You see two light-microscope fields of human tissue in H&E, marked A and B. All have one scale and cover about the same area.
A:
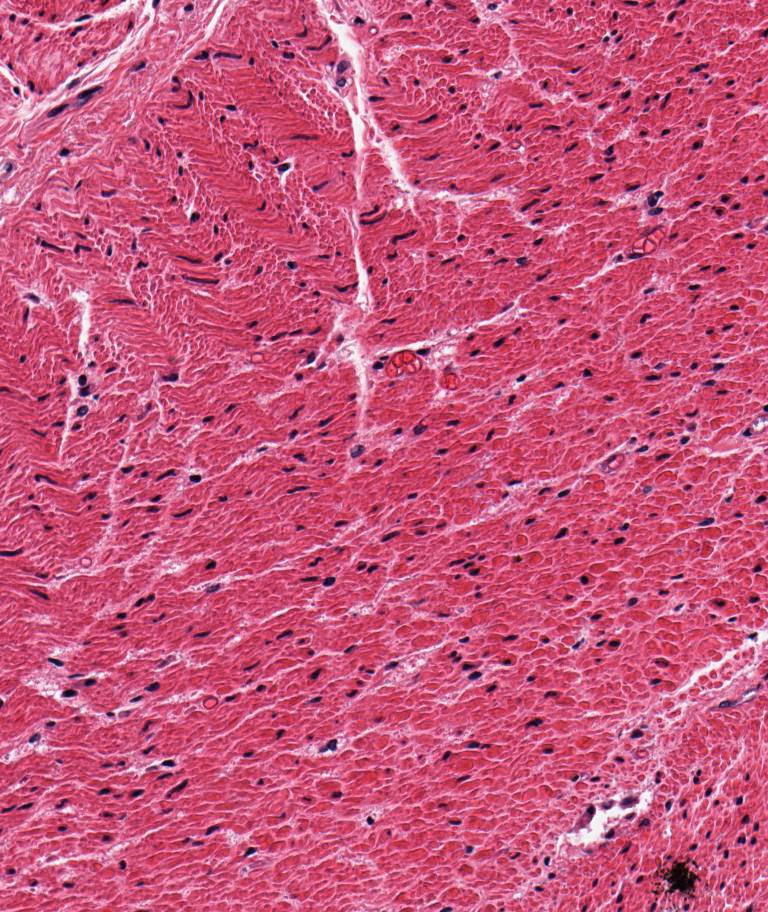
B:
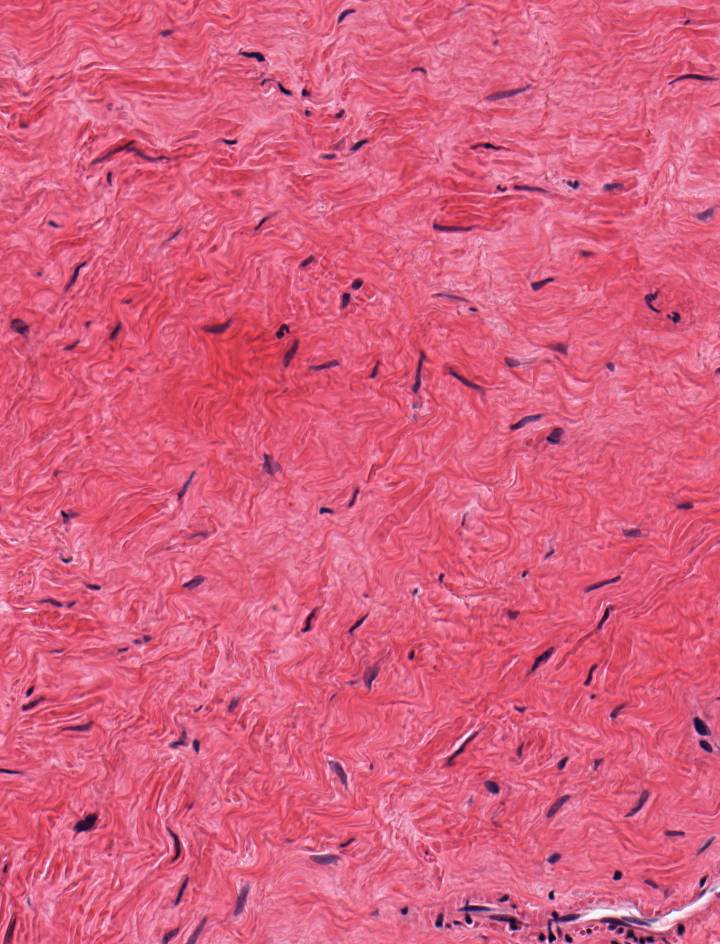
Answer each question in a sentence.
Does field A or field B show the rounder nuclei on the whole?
The nuclei are rounder in field A.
